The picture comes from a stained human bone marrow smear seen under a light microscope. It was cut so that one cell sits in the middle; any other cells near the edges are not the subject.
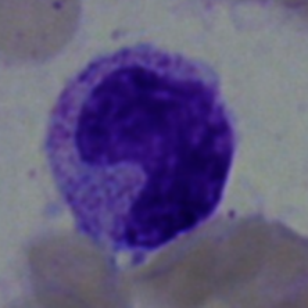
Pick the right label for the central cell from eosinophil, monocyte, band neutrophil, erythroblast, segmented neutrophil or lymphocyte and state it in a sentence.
The central cell, amid any neighbouring cells, is a band neutrophil.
